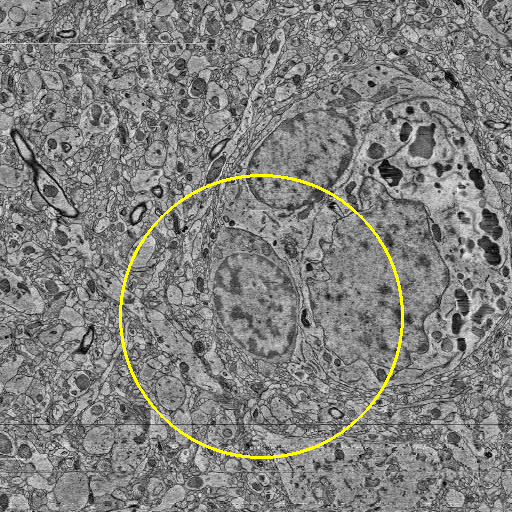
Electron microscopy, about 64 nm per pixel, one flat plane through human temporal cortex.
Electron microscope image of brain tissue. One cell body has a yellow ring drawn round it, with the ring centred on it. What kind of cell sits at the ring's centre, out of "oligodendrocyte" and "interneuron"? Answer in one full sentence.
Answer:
It is an oligodendrocyte whose cell body sits at the centre of the yellow ring.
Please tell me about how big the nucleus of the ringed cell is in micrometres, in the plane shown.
About 7 by 5 micrometers for the nucleus, in this plane.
